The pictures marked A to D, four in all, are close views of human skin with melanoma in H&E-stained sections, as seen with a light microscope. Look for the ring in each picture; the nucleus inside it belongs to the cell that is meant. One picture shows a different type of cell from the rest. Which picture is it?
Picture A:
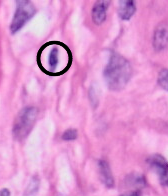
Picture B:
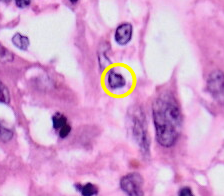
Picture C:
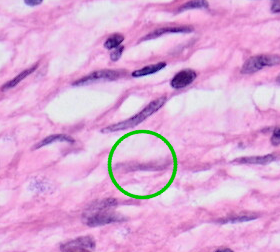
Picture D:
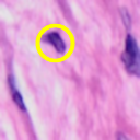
C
